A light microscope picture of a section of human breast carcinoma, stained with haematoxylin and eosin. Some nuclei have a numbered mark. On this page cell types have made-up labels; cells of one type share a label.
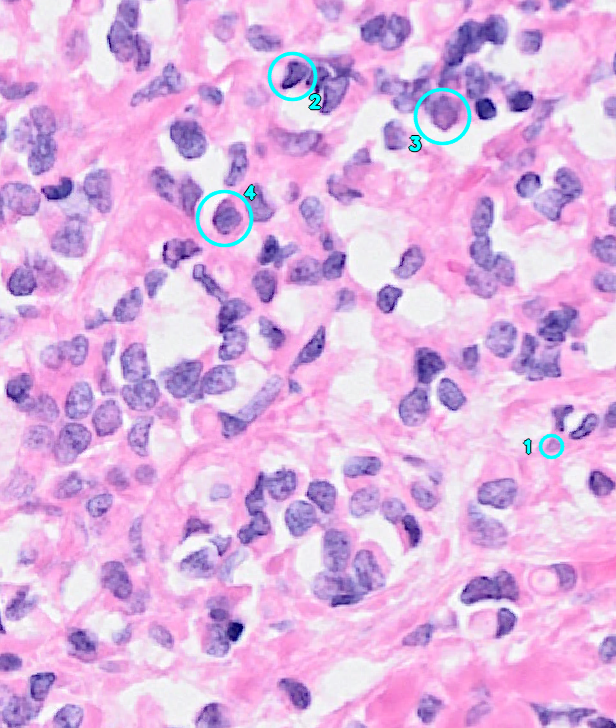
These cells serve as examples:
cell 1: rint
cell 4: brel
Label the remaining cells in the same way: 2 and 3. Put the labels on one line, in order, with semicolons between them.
brel; brel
